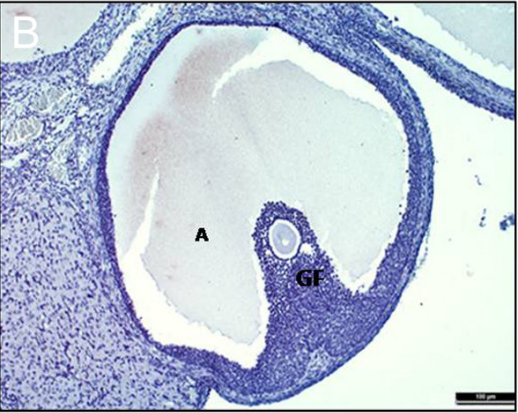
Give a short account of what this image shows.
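A large ovarian Graafian follicle fills most of the field. Its wall is a band of several layers of small, densely packed granulosa cells with dark blue nuclei, surrounded by flattened thecal layers and looser stroma outside. The centre is a large pale antrum holding faintly tinted fluid, partly pulled away from the wall. At one side the granulosa cells thicken into a mound projecting into the antrum, and within it sits the oocyte: a round cell with pale cytoplasm, surrounded by a clear refractile ring and a corona of small cells. Outside the follicle lies stroma with spindle-shaped nuclei.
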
